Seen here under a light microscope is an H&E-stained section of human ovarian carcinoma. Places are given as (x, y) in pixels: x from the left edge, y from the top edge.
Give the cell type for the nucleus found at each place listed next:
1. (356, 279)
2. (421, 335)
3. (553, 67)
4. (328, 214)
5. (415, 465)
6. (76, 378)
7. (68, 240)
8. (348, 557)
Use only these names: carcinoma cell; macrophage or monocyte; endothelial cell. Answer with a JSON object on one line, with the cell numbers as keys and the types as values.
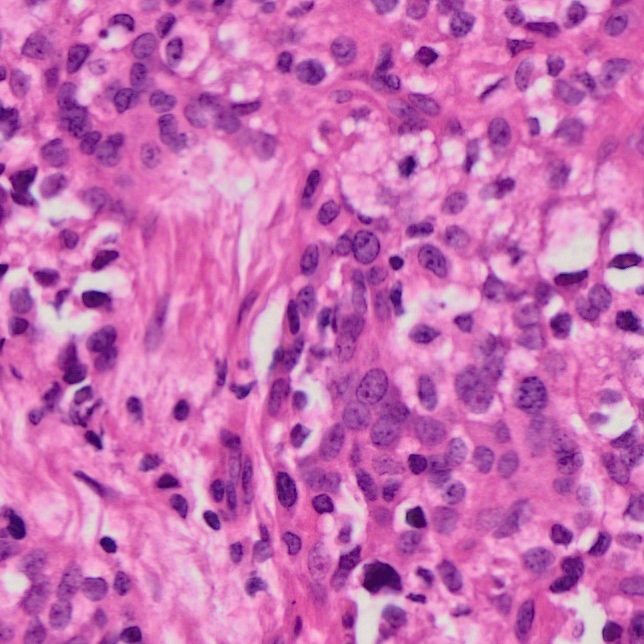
{"1": "carcinoma cell", "2": "macrophage or monocyte", "3": "macrophage or monocyte", "4": "macrophage or monocyte", "5": "carcinoma cell", "6": "carcinoma cell", "7": "macrophage or monocyte", "8": "carcinoma cell"}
